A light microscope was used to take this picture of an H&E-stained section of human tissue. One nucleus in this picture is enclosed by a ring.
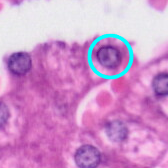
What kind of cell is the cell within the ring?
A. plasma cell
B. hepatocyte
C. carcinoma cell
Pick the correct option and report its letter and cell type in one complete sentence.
The correct option here, B, identifies the cell within the ring as a hepatocyte.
